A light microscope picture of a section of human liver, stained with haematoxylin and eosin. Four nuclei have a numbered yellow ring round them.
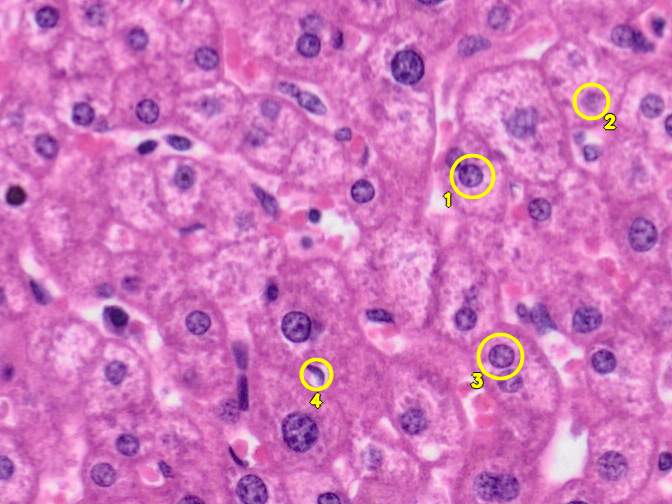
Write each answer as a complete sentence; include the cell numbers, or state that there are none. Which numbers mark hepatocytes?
In this section, the cells labelled 1, 2 and 3 are hepatocytes.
